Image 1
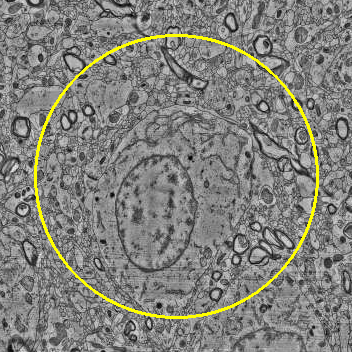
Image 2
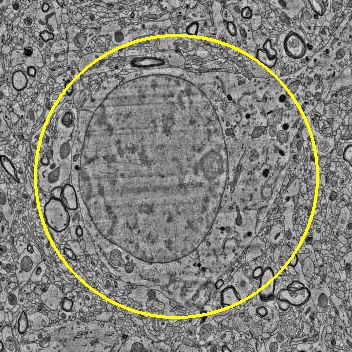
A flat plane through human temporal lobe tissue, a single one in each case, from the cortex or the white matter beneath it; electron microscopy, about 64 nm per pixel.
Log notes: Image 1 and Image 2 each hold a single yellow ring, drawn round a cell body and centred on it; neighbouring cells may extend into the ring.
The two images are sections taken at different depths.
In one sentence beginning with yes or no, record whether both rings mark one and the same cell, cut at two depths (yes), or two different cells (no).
No, the two rings indicate two different cells, not one.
